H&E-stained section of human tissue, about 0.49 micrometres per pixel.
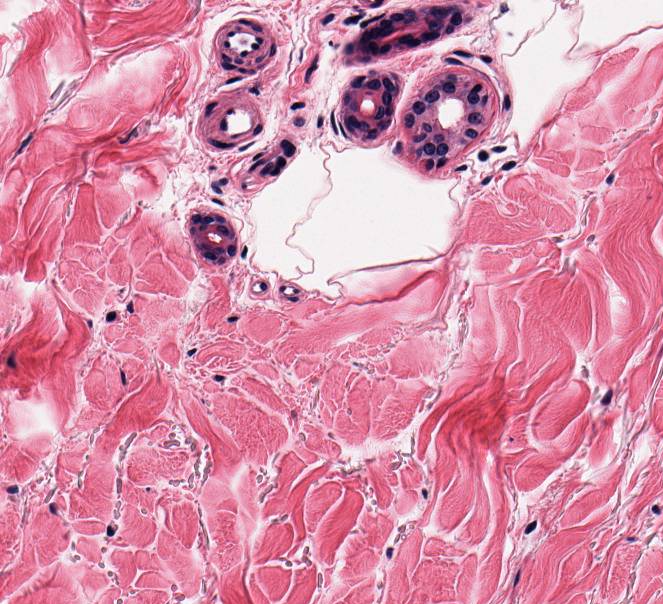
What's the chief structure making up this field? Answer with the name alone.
dermis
